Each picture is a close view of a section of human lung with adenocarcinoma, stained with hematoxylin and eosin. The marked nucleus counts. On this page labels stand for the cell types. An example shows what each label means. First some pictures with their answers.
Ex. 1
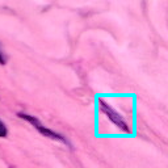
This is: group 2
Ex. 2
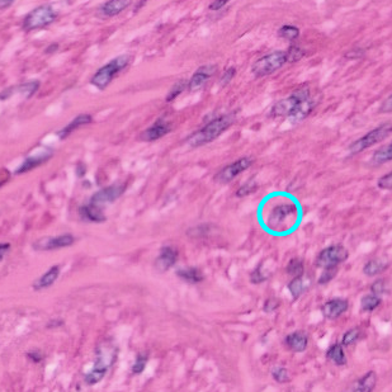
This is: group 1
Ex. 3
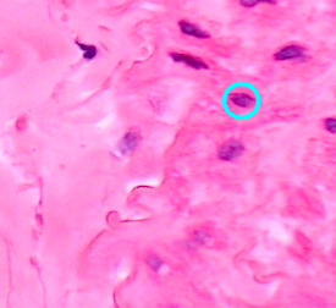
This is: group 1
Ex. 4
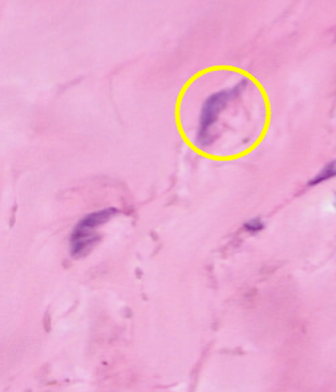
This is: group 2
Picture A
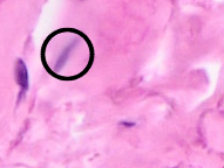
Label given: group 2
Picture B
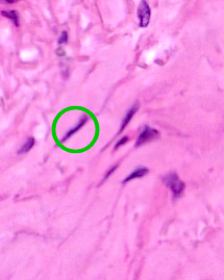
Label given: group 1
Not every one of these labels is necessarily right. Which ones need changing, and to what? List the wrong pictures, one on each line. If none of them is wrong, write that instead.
B: group 2, not group 1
